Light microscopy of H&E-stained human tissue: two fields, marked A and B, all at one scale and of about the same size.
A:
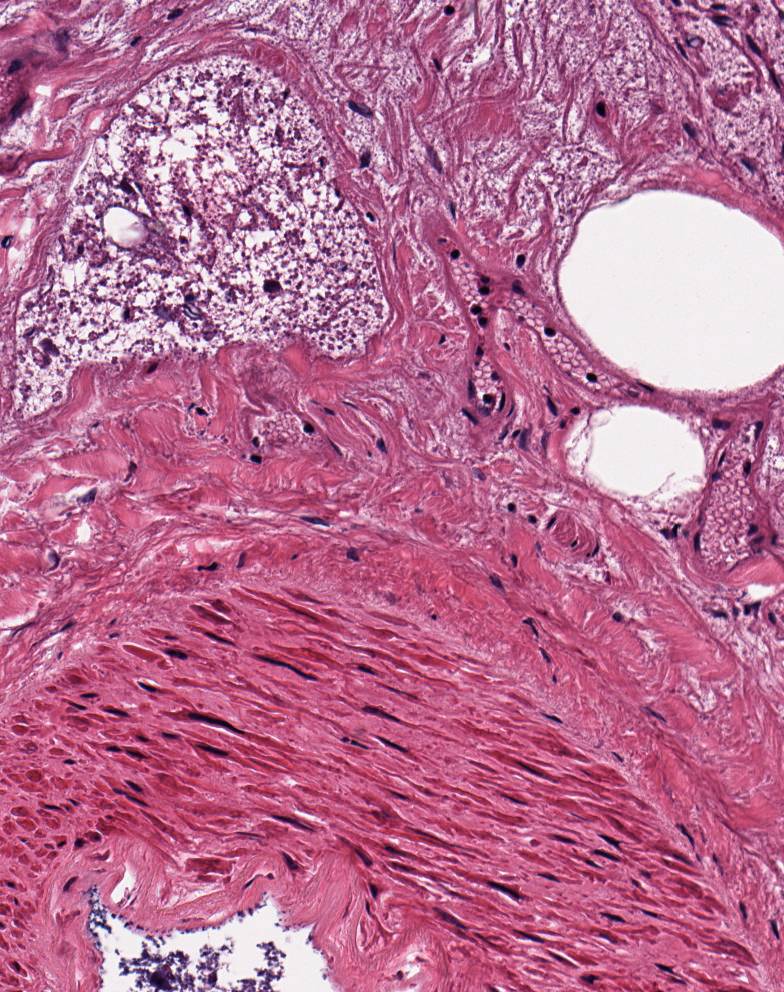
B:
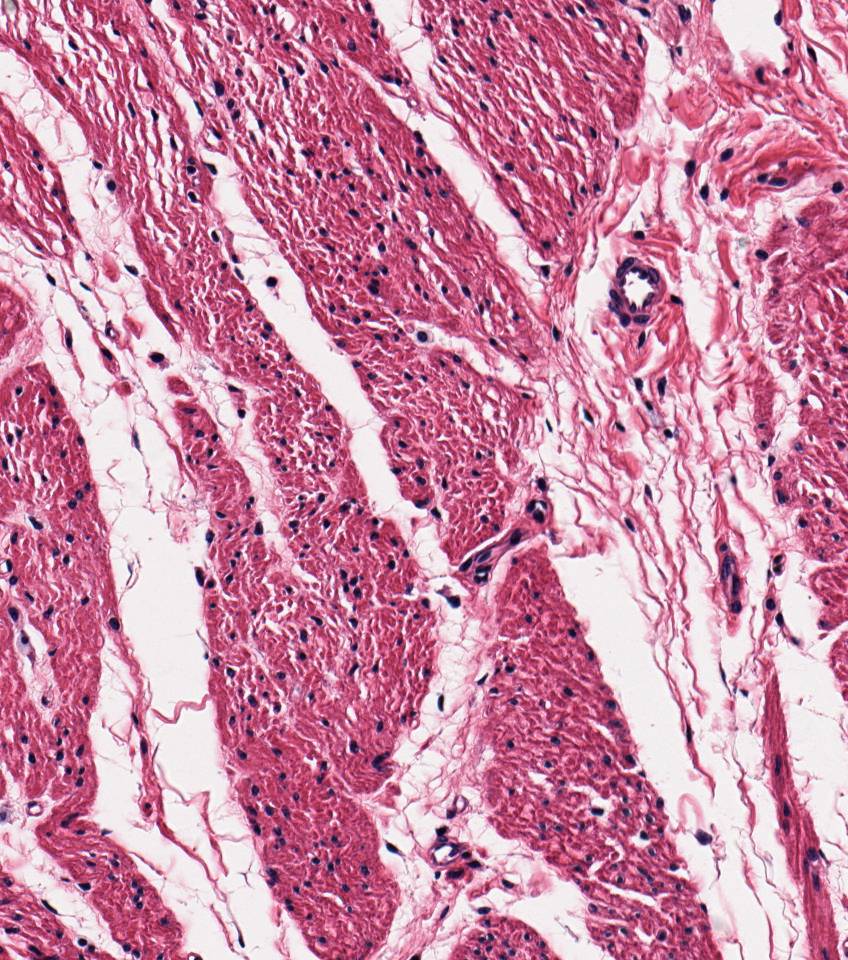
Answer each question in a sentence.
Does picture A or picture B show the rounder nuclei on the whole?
On the whole the nuclei of picture B are rounder than those of picture A.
